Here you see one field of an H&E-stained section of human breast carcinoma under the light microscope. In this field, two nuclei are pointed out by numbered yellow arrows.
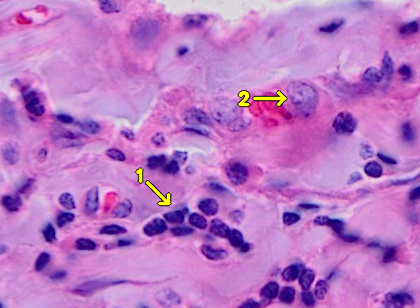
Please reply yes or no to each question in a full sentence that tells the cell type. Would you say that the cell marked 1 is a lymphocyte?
Yes, the cell marked with number 1 is a lymphocyte.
